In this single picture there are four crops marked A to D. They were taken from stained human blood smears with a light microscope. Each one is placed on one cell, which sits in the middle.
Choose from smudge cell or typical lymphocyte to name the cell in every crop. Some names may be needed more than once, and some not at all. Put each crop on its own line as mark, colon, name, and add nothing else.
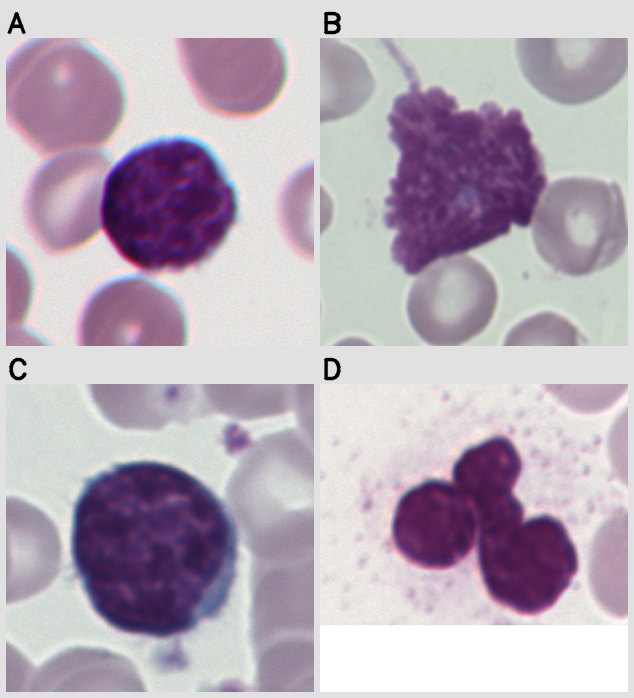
A: typical lymphocyte
B: smudge cell
C: typical lymphocyte
D: smudge cell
